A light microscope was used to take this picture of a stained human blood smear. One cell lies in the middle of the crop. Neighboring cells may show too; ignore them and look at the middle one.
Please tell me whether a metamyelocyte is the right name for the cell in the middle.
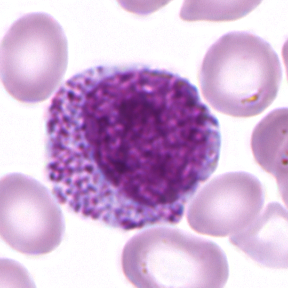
no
